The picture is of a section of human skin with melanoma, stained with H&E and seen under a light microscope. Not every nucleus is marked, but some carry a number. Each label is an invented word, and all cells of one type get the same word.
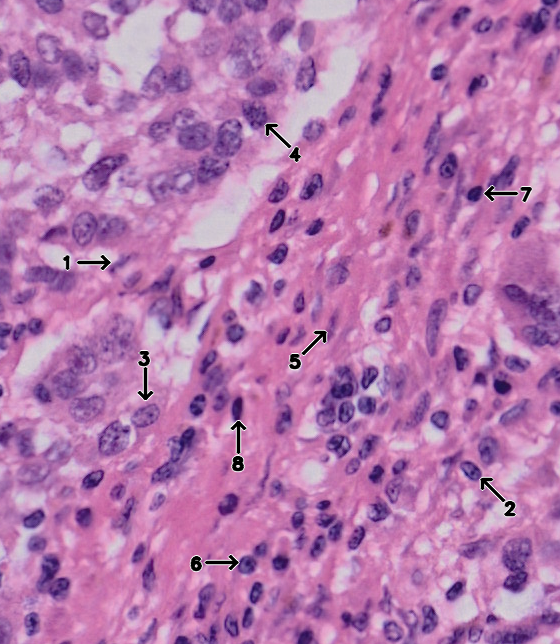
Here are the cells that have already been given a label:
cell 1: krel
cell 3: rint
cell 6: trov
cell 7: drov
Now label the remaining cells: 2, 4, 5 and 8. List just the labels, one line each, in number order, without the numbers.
trov
rint
krel
drov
